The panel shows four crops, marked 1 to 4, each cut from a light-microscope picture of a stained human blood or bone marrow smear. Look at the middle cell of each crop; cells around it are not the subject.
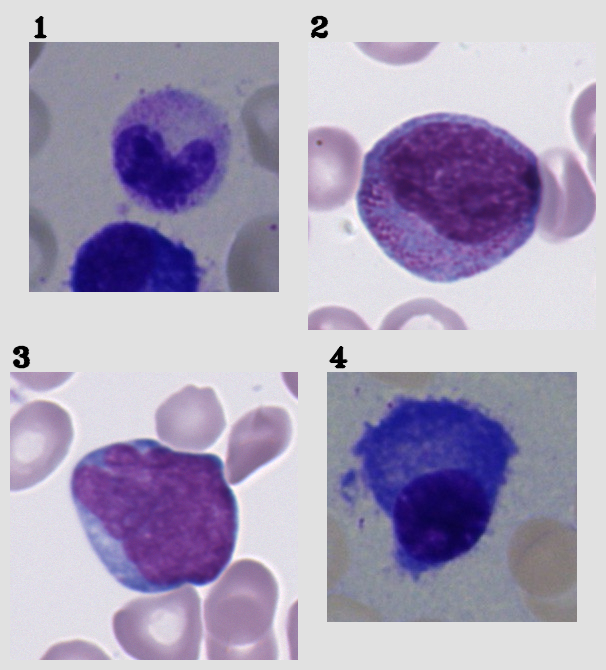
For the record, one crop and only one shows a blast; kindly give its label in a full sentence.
Of the crops given, a blast is found in crop 3.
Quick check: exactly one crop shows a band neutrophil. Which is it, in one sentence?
The crop that shows a band neutrophil is crop 1.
